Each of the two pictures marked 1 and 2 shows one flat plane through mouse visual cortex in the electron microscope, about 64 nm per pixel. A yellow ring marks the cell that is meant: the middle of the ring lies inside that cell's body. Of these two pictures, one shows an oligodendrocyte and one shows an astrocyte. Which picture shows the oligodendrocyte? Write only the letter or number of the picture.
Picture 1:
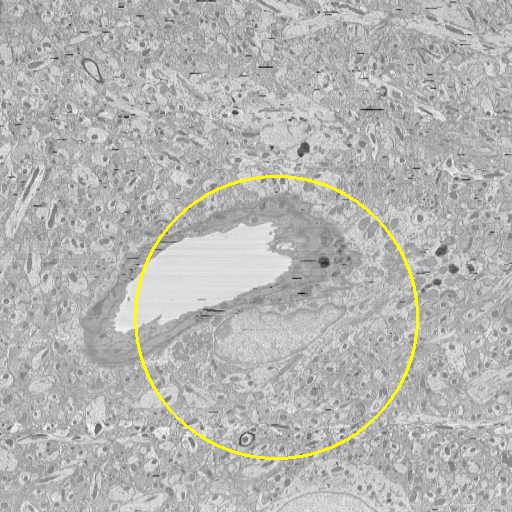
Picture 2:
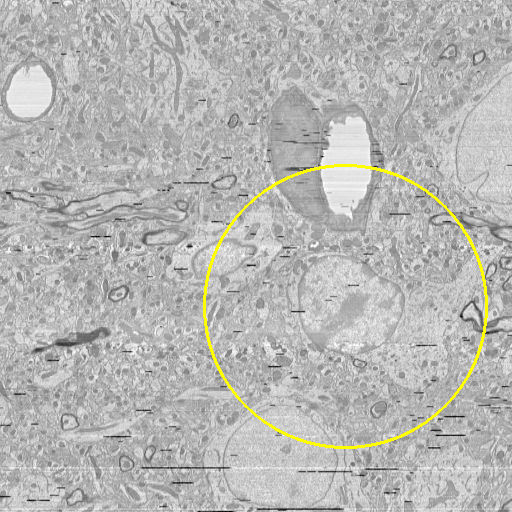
2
